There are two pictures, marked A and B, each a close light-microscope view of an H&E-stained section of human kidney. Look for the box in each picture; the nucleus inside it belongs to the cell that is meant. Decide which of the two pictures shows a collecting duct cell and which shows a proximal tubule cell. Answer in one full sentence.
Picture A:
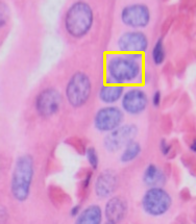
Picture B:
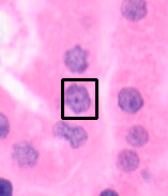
Picture A is of a collecting duct cell, and picture B is of a proximal tubule cell.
